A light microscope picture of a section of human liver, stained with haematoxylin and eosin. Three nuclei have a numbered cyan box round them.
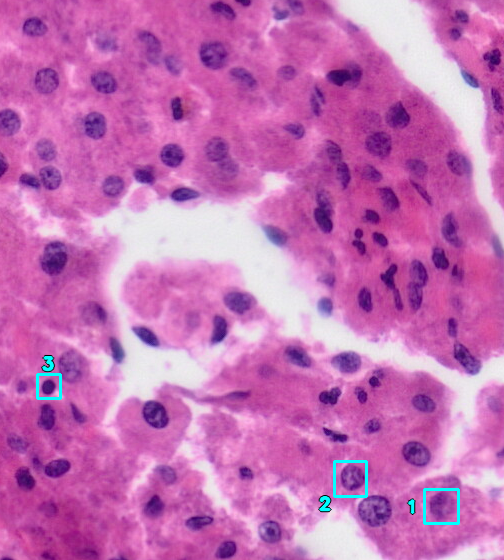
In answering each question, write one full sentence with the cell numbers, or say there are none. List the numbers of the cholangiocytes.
It is true of every numbered cell that it is not one of the cholangiocytes.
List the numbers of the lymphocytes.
Of the numbered nuclei, only the one labelled 3 belongs to a lymphocyte.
